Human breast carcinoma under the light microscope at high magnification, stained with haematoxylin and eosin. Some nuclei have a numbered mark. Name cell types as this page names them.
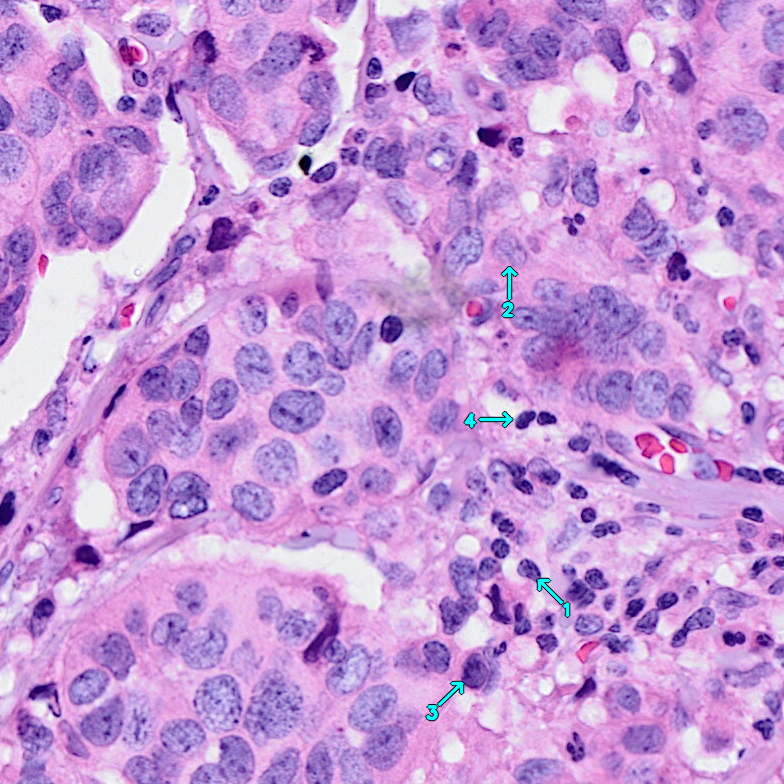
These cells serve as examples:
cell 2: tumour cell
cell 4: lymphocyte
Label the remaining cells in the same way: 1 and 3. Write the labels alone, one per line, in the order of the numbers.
lymphocyte
tumour cell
